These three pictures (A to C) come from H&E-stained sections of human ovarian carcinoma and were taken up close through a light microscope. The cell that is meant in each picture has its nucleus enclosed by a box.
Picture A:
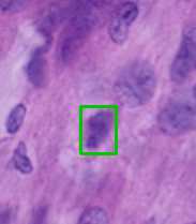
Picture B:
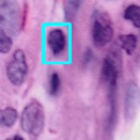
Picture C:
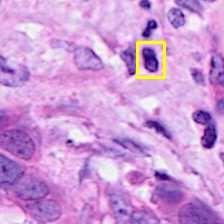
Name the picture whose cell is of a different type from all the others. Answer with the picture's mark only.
A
